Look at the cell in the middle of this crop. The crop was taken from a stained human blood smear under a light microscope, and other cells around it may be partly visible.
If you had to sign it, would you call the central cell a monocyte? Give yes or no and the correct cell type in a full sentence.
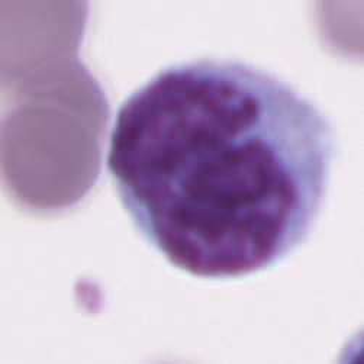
Yes, the centred cell is categorised as a monocyte.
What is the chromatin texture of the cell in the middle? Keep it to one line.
The chromatin of this one is coarsely clumped.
